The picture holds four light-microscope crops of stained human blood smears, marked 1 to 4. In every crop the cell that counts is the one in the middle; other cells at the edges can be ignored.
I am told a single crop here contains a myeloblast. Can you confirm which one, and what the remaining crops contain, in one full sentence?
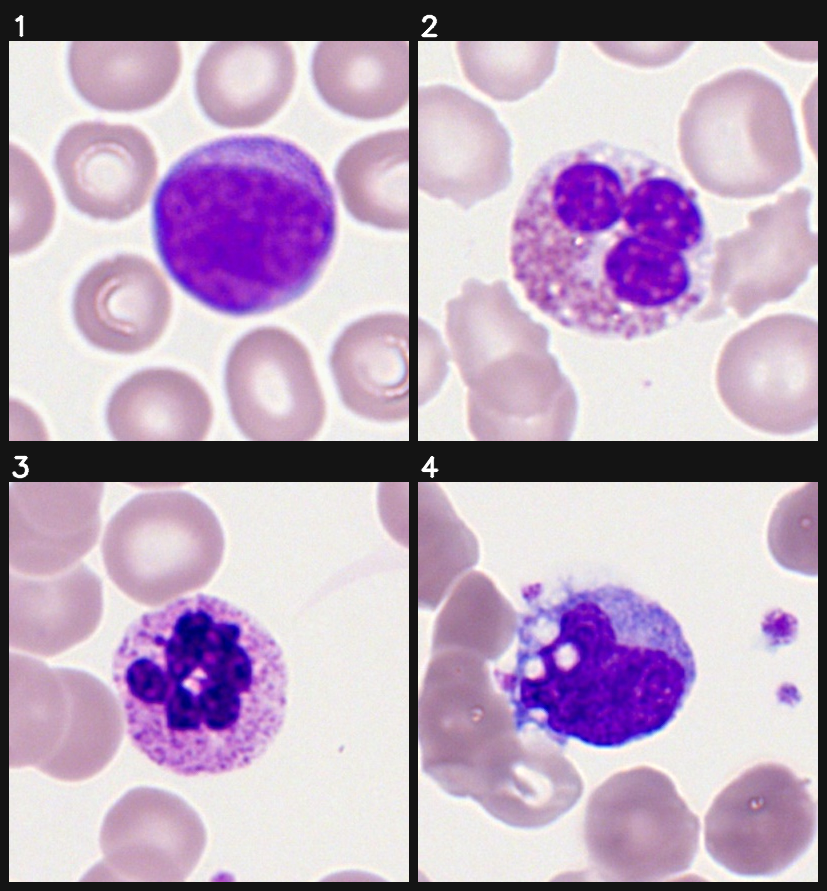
The cell sitting in crop 1 is a myeloblast, while crop 2 is an eosinophil, crop 3 is a segmented neutrophil and crop 4 is a monocyte.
